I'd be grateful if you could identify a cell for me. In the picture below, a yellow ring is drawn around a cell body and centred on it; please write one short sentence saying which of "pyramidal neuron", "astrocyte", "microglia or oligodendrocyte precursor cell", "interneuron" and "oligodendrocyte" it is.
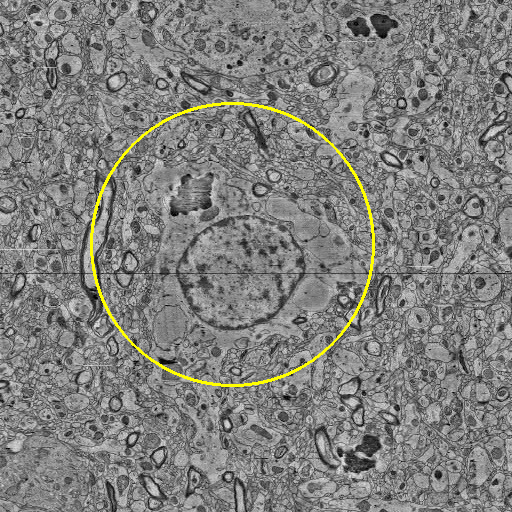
The cell under the ring's centre is an astrocyte.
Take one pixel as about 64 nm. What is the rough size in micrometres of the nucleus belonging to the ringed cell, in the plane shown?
Roughly 8 micrometres across, measured in this plane.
